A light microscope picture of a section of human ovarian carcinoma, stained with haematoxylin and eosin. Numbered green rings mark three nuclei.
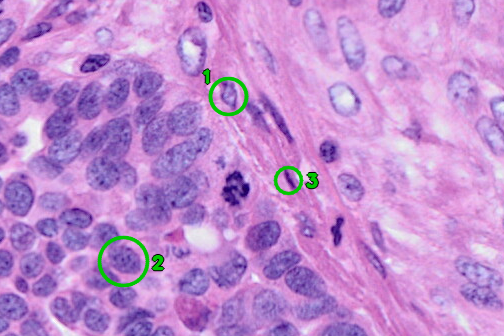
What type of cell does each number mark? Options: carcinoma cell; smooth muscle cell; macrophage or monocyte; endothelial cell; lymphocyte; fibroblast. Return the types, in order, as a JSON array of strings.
["fibroblast", "carcinoma cell", "fibroblast"]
